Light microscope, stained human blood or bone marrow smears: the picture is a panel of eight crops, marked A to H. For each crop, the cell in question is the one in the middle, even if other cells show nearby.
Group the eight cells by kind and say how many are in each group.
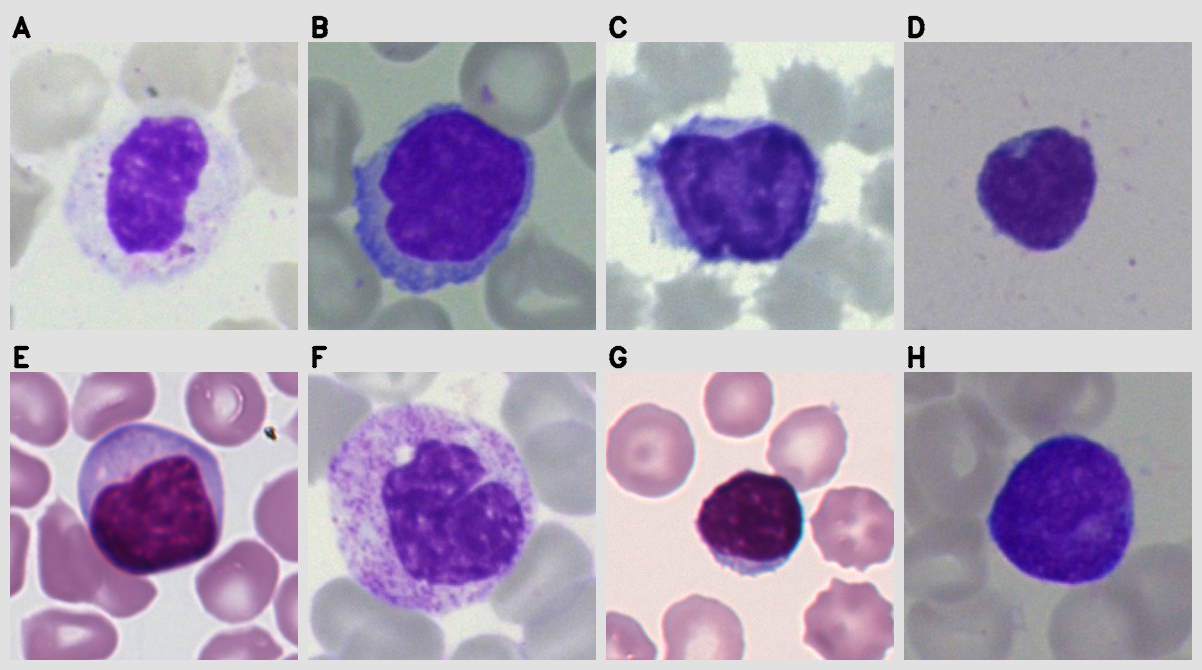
blast: 3
lymphocyte: 3
metamyelocyte: 2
